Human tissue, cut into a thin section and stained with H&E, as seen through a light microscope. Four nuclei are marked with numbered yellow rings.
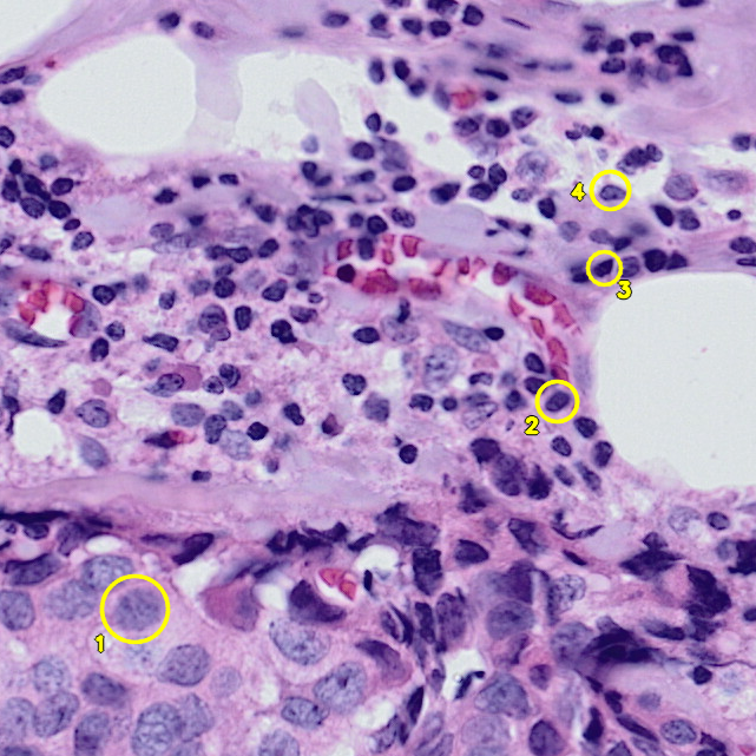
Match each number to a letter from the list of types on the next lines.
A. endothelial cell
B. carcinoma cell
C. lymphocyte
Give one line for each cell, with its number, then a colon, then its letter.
1: B
2: C
3: C
4: C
